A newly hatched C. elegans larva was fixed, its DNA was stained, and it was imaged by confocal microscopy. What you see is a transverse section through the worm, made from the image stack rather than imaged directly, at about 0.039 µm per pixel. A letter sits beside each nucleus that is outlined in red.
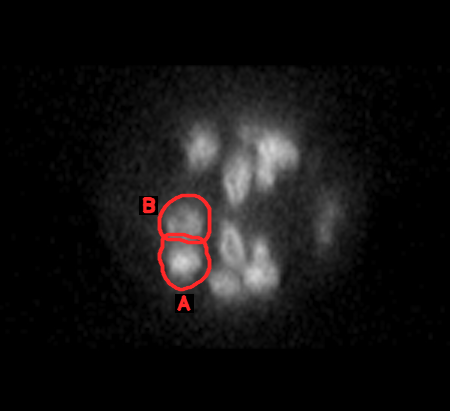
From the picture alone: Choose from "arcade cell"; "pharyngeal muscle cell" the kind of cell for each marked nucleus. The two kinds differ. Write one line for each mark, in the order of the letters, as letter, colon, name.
A: arcade cell
B: pharyngeal muscle cell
